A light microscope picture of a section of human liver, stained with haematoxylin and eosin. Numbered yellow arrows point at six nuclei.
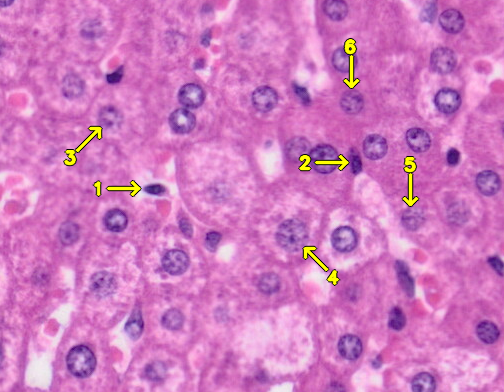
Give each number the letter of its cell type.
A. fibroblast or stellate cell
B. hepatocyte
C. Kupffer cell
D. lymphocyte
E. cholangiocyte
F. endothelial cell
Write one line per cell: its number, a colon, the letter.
1: D
2: A
3: B
4: B
5: B
6: B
